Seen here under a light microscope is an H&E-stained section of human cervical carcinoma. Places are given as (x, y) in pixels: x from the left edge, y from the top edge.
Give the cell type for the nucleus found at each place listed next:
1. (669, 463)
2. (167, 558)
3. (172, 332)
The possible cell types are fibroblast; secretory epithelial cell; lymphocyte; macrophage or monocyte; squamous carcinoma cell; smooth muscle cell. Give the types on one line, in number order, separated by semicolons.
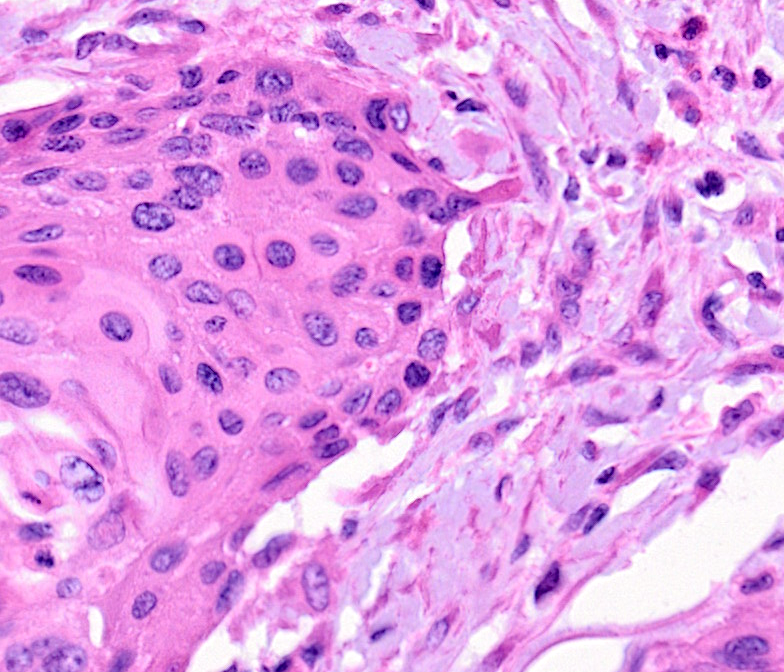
fibroblast; squamous carcinoma cell; squamous carcinoma cell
